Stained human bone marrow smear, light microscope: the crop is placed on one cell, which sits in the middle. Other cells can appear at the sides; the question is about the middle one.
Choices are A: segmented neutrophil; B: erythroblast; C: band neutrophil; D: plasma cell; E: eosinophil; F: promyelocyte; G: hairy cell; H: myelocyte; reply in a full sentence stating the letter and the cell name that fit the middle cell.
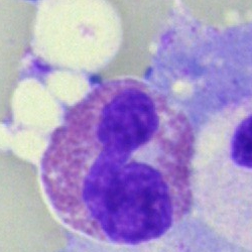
The centered cell is an eosinophil, which is why option E is right.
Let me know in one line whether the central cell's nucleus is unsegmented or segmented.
Round, oval or kidney-shaped, the nucleus is one compact mass.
